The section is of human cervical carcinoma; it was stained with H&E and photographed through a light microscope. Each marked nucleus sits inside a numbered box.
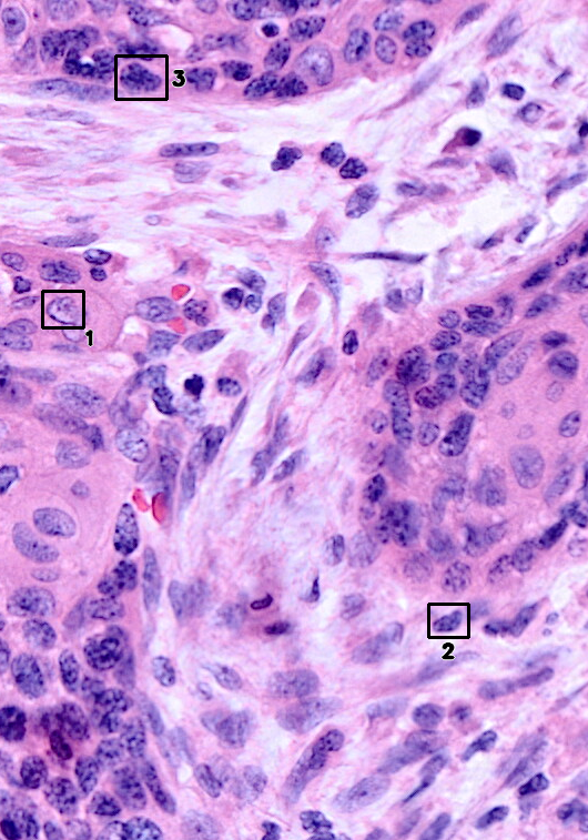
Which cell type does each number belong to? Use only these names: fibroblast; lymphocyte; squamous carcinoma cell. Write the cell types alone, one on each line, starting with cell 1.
squamous carcinoma cell
lymphocyte
squamous carcinoma cell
